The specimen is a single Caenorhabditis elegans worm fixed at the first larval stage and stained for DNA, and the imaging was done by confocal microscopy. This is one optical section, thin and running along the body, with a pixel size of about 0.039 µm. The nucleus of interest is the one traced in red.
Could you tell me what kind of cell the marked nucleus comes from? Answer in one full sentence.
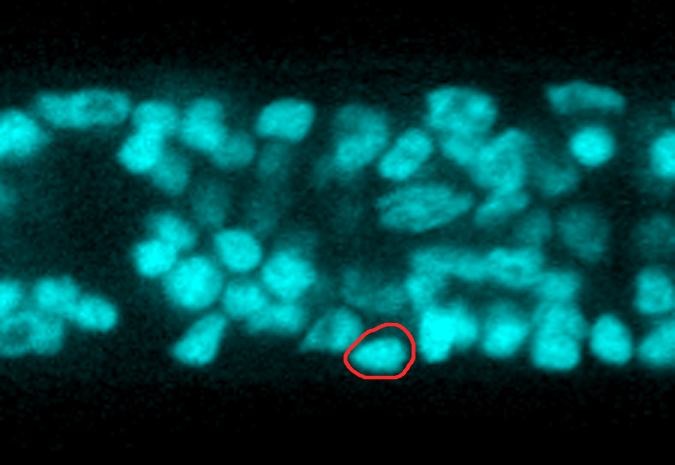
This nucleus is from a neuron.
